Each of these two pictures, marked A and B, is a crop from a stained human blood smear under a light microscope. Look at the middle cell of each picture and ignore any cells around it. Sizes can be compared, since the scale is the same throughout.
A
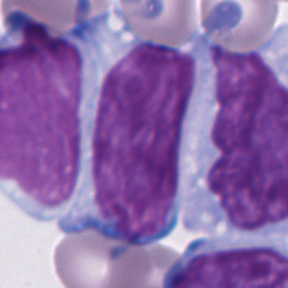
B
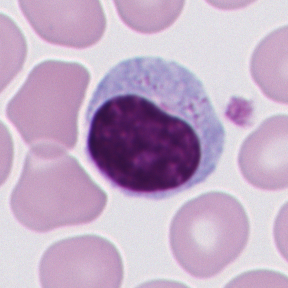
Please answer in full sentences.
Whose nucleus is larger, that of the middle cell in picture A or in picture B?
Larger is the nucleus in picture A, at roughly 2 times the area of the other.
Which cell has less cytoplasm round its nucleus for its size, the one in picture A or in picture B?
Of the two, the nucleus in picture A makes up the greater part of its cell.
